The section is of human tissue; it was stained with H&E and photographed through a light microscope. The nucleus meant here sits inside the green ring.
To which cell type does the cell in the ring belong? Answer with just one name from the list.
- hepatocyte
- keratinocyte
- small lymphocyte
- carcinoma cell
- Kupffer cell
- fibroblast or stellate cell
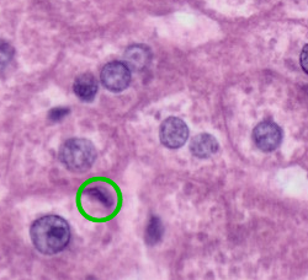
fibroblast or stellate cell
